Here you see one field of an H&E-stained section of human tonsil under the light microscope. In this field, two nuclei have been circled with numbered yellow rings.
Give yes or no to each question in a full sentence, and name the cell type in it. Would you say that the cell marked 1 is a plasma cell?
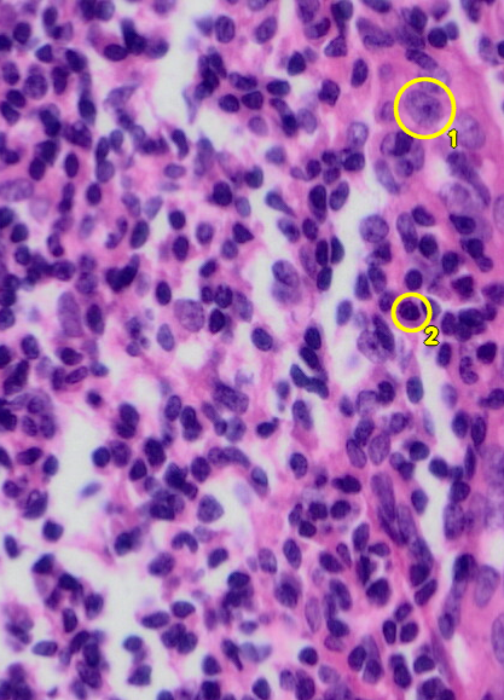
No, the cell denoted 1 is an endothelial cell rather than a plasma cell.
